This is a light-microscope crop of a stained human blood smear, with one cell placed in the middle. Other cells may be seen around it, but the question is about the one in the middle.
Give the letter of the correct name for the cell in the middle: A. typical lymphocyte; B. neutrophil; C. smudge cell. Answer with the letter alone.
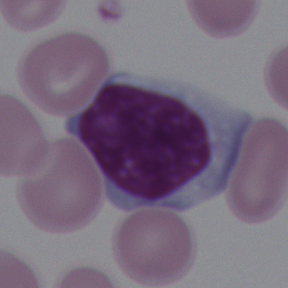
A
